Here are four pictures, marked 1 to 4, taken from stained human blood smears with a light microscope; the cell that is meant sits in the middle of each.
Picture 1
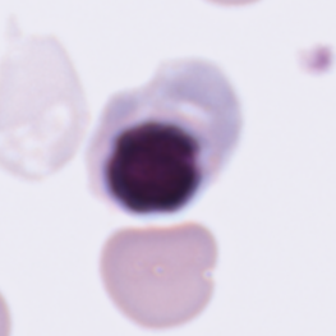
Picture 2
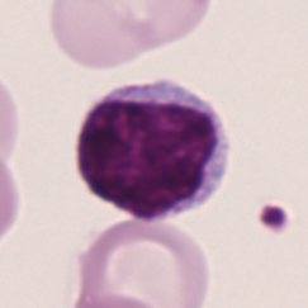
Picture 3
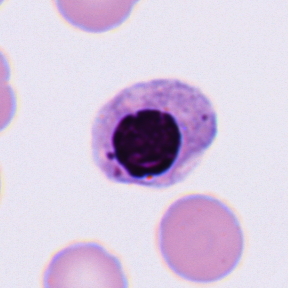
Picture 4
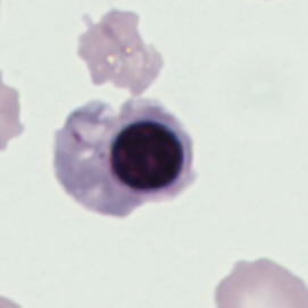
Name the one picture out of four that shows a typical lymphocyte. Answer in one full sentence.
The cell in picture 2 is the typical lymphocyte.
